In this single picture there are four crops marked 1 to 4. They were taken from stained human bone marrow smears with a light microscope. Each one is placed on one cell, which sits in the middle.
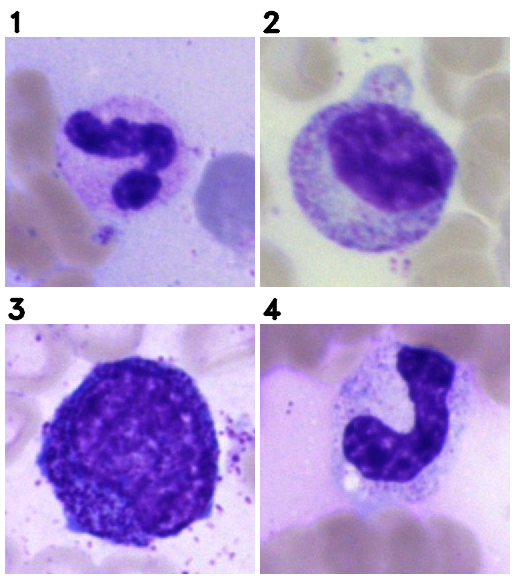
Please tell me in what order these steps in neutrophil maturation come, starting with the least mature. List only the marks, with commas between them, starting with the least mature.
3, 2, 4, 1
